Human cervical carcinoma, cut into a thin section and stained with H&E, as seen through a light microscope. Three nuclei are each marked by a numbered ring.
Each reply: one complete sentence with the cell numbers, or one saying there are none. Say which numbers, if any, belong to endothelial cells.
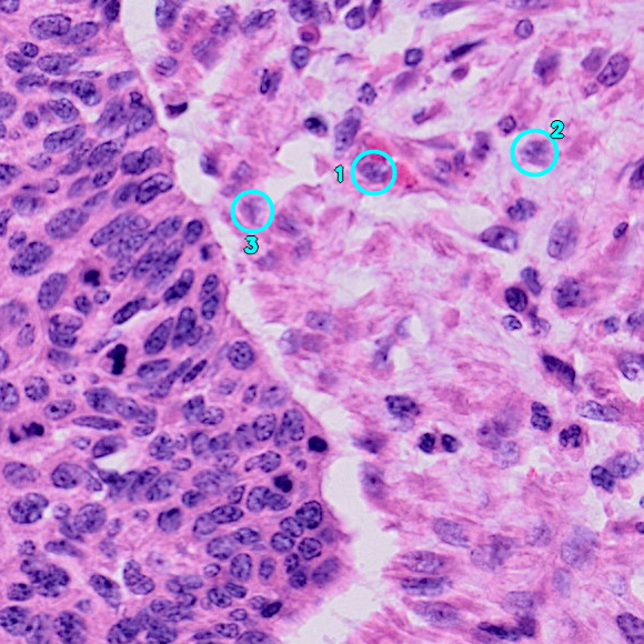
Among the numbered cells, the one that is an endothelial cell is cell 1 alone.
